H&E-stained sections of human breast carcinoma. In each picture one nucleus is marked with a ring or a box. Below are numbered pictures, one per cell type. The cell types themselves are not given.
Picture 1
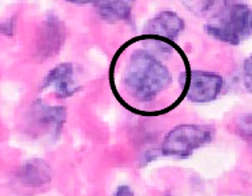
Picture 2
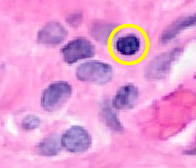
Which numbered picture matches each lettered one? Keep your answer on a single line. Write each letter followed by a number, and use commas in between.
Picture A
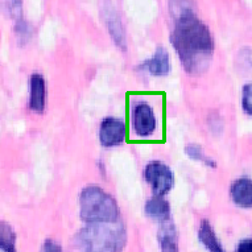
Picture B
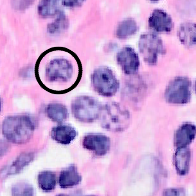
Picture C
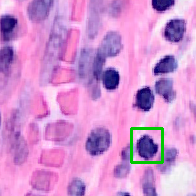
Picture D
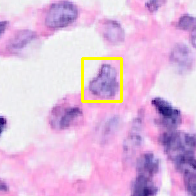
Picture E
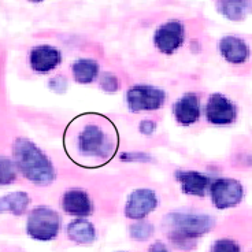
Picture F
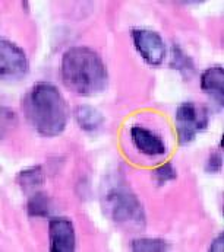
A 2, B 2, C 2, D 1, E 2, F 2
